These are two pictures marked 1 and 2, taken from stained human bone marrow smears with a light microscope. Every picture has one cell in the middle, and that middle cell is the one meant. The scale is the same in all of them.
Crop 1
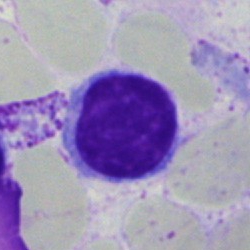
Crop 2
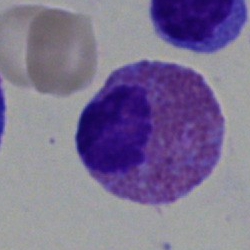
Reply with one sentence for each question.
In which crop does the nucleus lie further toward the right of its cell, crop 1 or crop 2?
The nucleus in crop 1 lies further toward the right of its cell.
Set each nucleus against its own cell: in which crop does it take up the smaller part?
The nucleus fills less of the cell in crop 2 than in crop 1.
